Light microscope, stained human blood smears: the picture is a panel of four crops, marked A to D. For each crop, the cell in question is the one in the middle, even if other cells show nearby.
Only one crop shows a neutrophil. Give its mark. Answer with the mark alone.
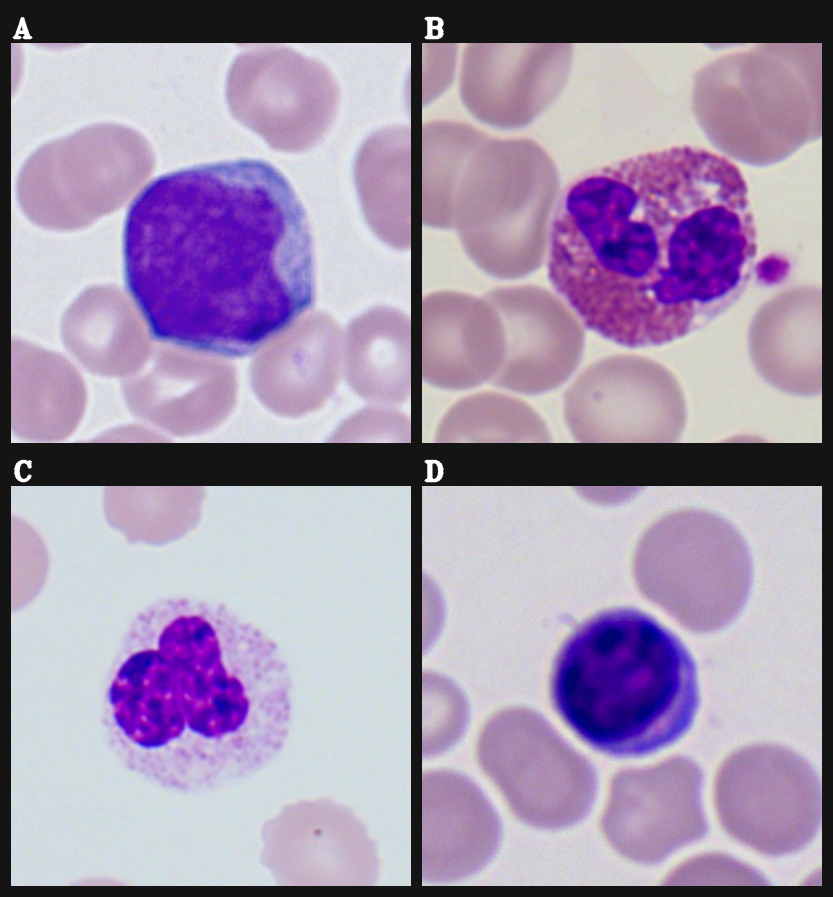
C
